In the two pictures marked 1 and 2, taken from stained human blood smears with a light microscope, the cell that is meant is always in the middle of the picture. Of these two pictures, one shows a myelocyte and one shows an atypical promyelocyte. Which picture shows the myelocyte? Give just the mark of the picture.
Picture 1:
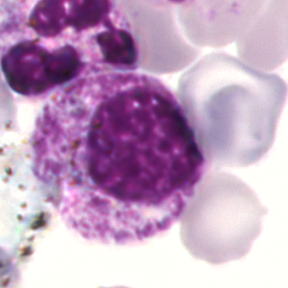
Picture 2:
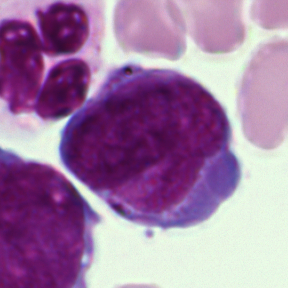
1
